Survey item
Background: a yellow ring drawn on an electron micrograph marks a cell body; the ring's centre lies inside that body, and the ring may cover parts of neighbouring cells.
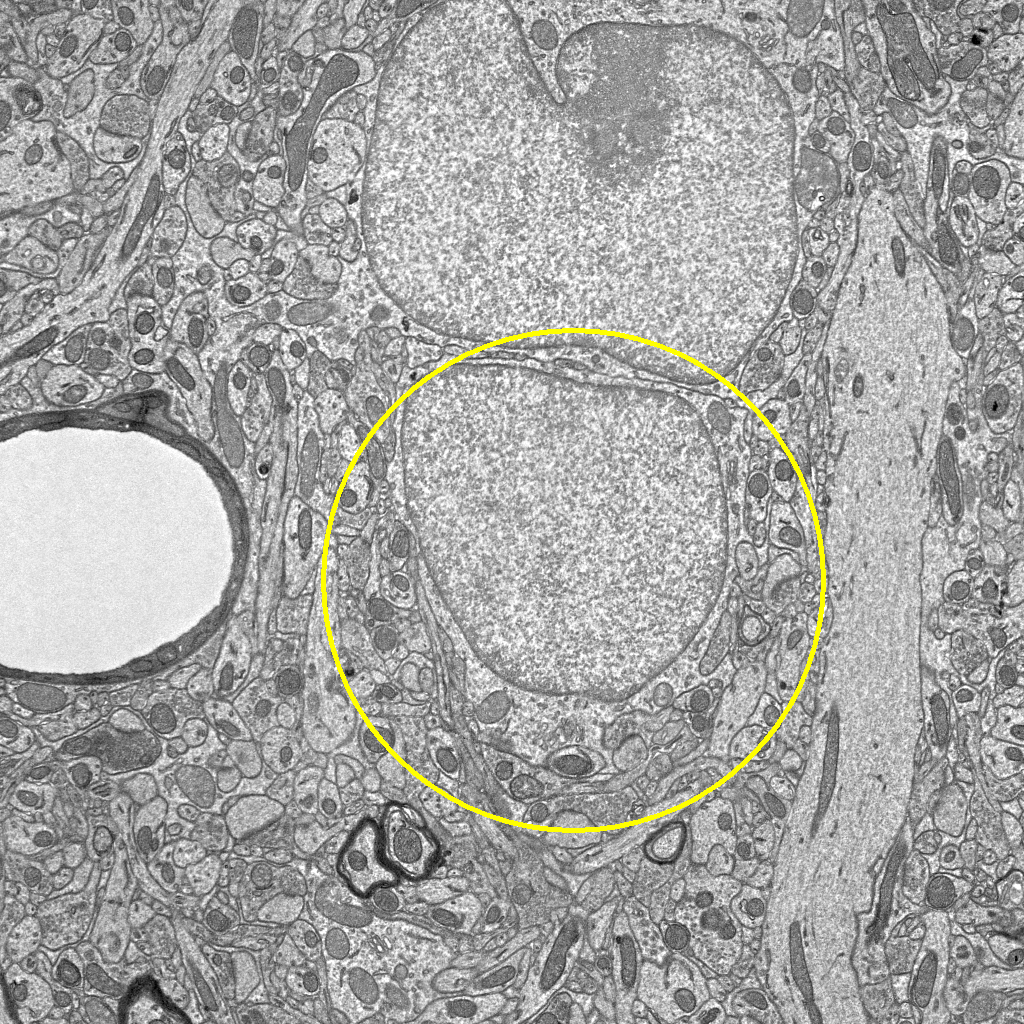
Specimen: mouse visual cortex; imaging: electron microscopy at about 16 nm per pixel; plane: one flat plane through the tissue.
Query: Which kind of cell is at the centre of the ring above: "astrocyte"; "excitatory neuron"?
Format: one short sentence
The cell in the middle of the ring is an astrocyte.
